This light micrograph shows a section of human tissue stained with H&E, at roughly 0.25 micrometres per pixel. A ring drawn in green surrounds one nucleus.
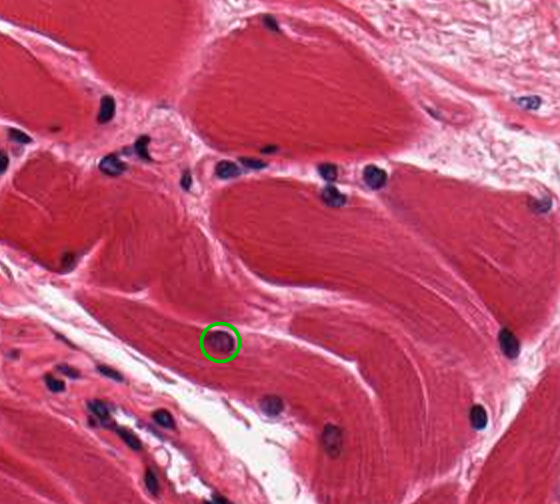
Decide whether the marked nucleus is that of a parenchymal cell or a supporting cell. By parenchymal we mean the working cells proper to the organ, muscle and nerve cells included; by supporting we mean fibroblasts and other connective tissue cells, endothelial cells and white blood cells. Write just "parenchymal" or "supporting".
parenchymal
